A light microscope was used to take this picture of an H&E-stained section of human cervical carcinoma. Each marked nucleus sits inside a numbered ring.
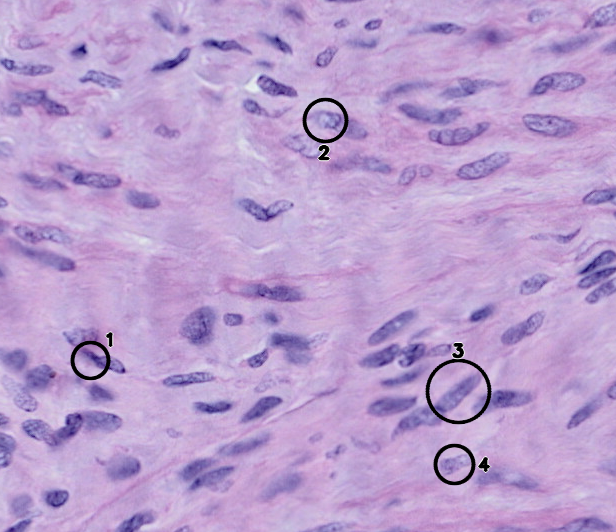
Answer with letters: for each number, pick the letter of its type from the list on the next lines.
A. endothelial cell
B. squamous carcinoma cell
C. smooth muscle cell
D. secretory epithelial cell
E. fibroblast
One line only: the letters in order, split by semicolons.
E; C; E; E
